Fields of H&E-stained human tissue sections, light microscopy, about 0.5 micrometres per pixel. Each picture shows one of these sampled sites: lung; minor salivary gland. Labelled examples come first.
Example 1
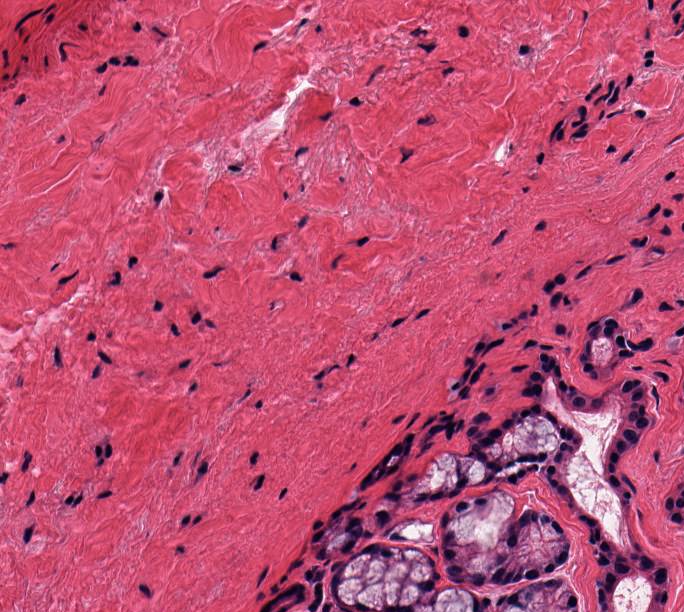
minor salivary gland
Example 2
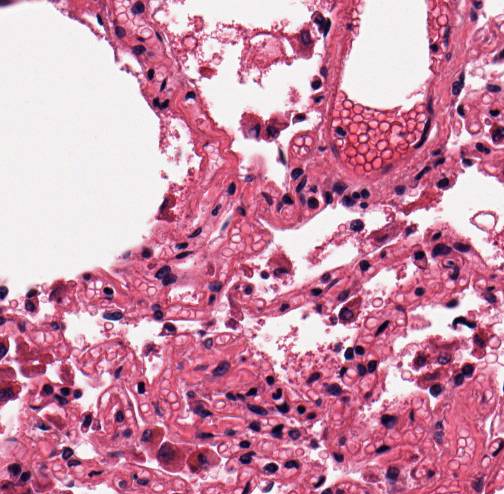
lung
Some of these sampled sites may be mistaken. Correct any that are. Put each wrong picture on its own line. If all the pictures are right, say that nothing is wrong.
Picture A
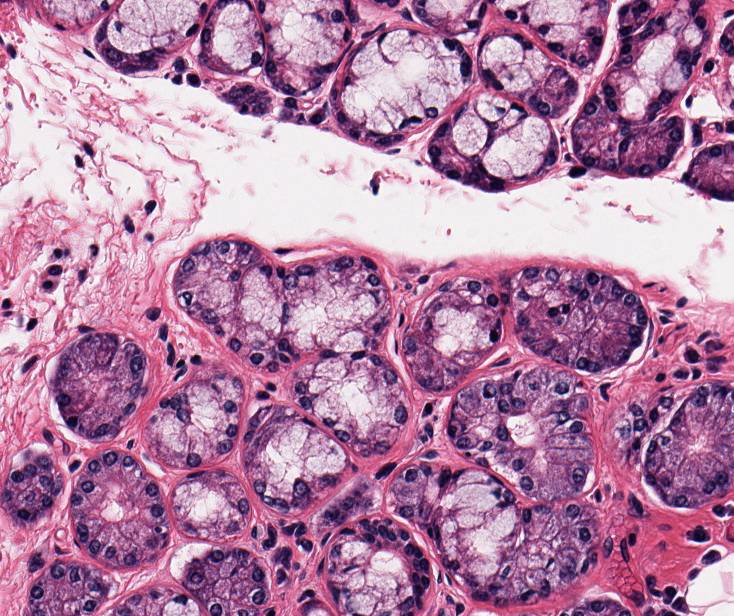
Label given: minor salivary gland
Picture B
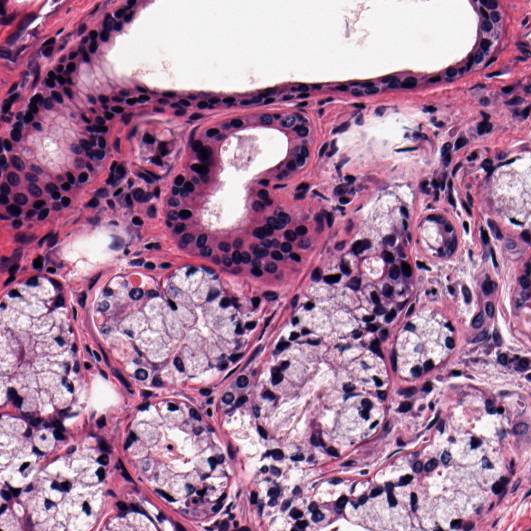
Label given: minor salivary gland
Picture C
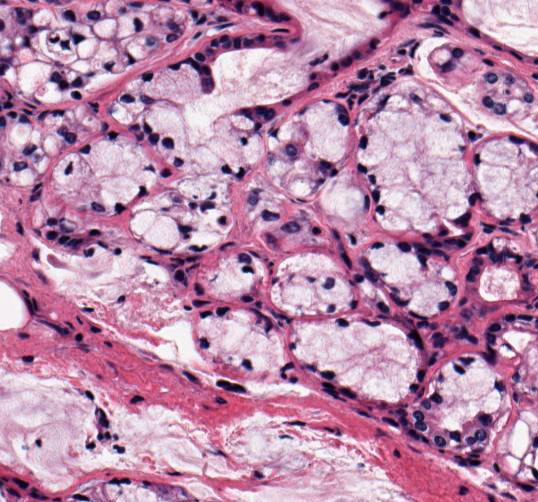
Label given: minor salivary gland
Nothing to fix; every label fits.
